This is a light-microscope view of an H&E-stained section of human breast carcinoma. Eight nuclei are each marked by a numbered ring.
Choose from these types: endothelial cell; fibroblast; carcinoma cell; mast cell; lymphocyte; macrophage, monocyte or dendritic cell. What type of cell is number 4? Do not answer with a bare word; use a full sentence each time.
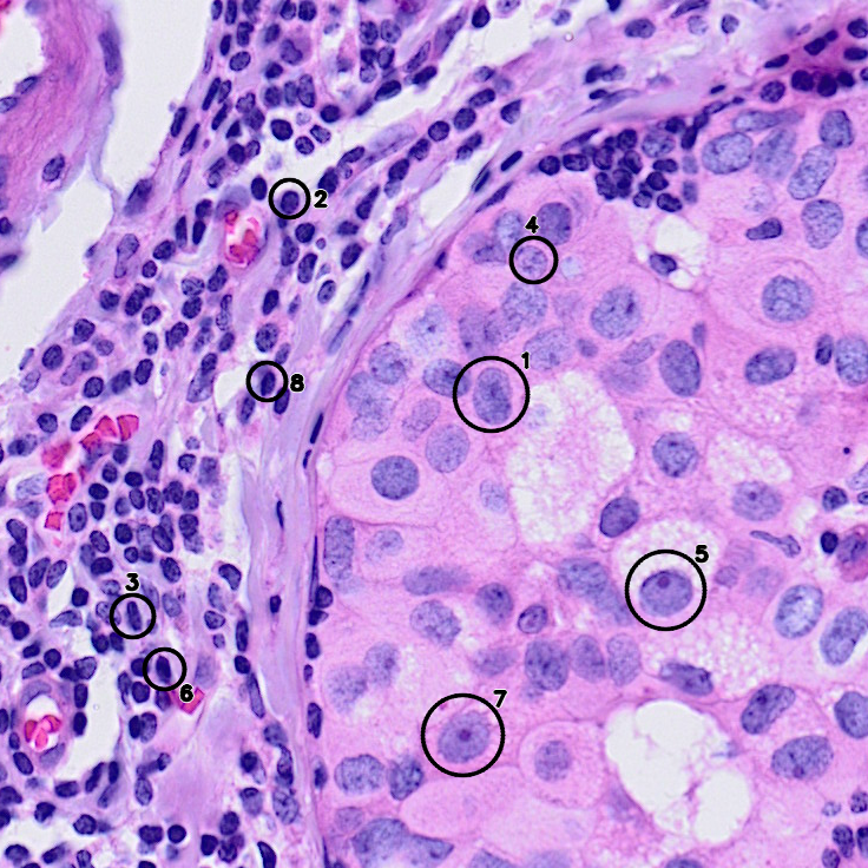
Cell 4 in the field of view is a carcinoma cell.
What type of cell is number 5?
Heads up, the cell numbered 5 is a carcinoma cell.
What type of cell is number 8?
Here the cell numbered 8 is a lymphocyte.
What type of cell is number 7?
The label 7 in this section denotes a carcinoma cell.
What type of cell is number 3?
Here, the cell given the number 3 is a lymphocyte.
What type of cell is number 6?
At number 6, the marked cell is a lymphocyte.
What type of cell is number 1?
Cell 1, among those numbered, is a carcinoma cell.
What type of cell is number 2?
The cell with the number 2 is a lymphocyte.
